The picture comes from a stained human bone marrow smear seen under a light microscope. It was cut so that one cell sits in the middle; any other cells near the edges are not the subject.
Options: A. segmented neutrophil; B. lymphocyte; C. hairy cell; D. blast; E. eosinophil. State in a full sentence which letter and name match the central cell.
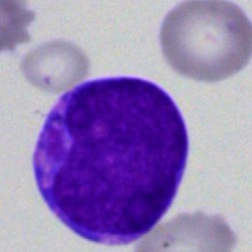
The central cell in this crop is a blast, so the correct choice is option D.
